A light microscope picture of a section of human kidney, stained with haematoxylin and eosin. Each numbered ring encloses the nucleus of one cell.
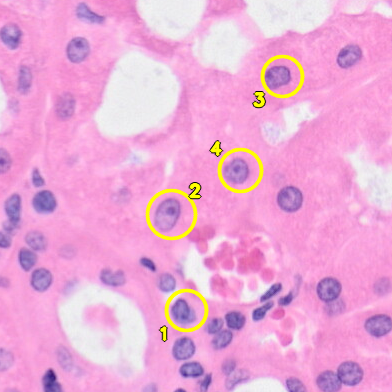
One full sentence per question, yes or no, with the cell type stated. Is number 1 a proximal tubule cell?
No, cell 1 is identified not as a proximal tubule cell but as a collecting duct cell.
